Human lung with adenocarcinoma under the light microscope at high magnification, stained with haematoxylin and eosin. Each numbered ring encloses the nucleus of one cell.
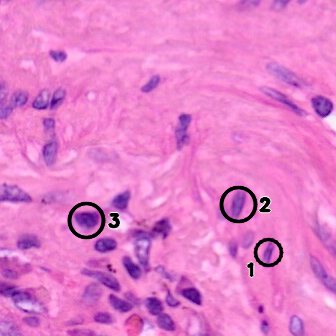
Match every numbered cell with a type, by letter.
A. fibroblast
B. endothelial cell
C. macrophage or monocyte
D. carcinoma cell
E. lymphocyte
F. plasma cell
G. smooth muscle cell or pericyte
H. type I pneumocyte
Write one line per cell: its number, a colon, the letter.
1: G
2: G
3: F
